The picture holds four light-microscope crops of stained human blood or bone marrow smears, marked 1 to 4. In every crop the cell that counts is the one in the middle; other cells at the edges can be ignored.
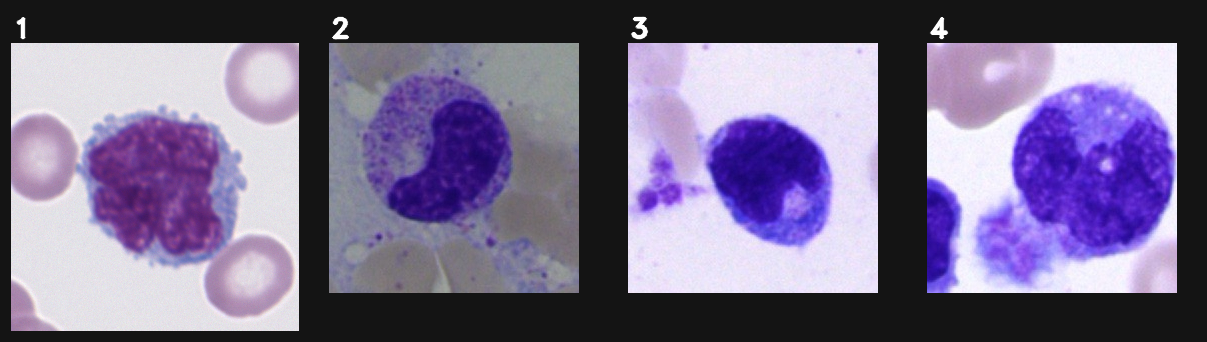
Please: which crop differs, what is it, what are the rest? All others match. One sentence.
Crop 2 is a metamyelocyte, while the rest of the set consists of monocytes.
